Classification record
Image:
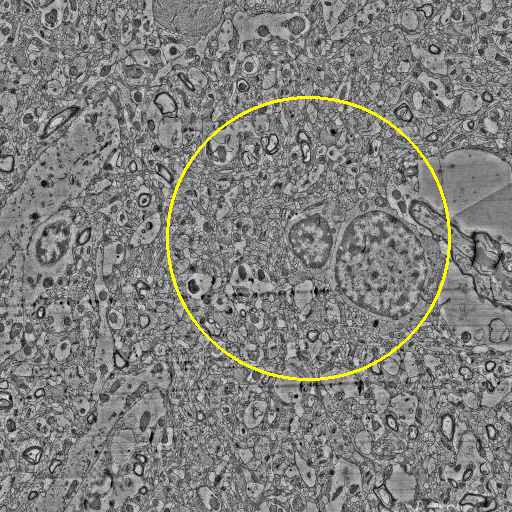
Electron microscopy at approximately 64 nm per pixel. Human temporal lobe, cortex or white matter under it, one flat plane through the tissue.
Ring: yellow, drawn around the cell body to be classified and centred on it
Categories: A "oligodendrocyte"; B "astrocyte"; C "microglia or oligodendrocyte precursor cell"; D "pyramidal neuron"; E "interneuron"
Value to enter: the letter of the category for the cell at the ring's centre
A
